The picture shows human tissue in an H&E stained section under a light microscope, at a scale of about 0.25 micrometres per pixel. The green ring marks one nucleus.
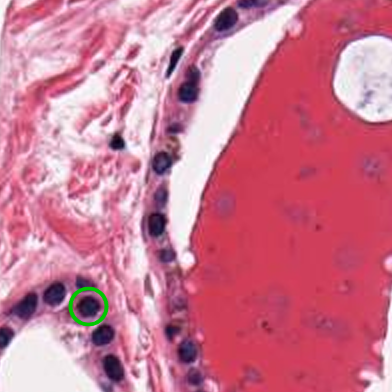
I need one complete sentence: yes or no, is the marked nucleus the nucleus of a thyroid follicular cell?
Yes, it is a thyroid follicular cell that holds the marked nucleus.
